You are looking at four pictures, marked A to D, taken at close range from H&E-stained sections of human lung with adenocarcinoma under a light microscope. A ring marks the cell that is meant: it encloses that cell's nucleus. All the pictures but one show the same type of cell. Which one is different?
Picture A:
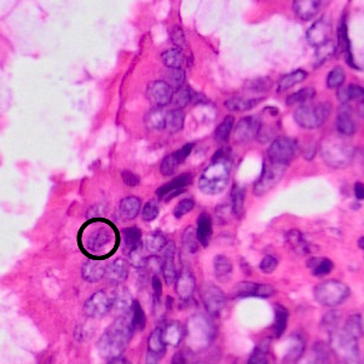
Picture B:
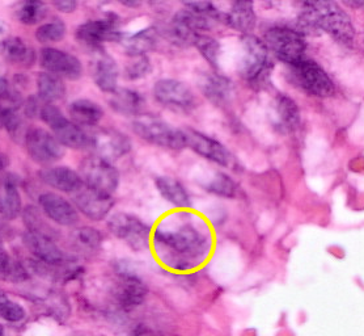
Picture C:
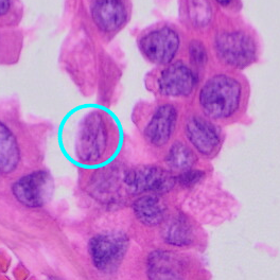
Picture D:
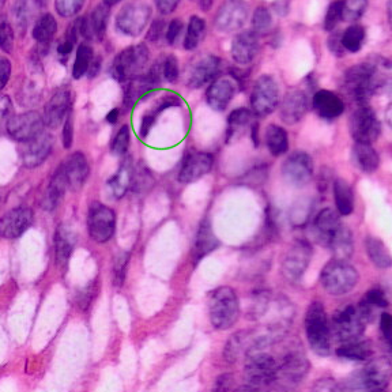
C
